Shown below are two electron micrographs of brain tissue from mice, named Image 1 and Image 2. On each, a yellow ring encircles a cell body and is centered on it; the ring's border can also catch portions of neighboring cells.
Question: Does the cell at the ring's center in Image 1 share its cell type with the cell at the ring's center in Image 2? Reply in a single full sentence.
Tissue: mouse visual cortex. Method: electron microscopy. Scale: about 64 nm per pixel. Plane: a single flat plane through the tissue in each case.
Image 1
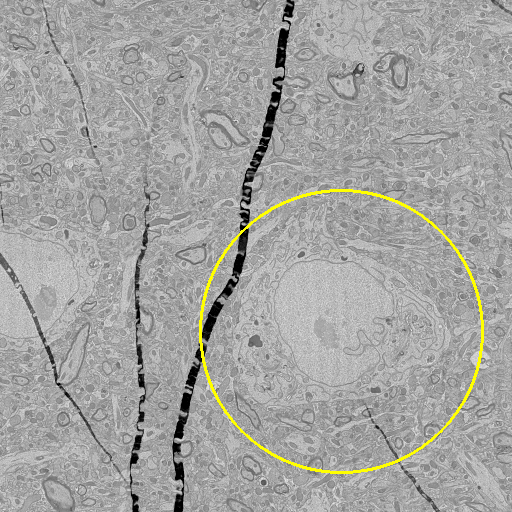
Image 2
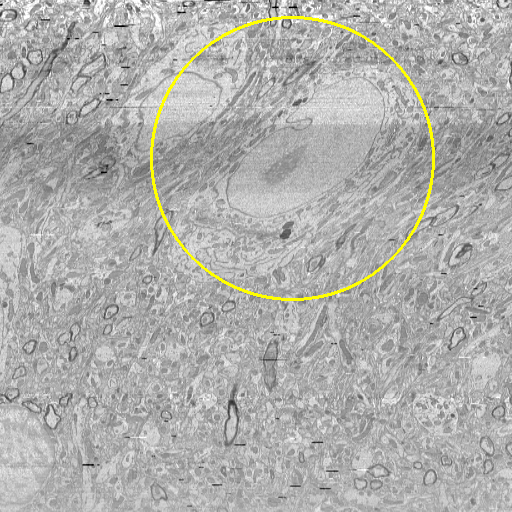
Yes, the two cells at the ring centers, in Image 1 and Image 2, share one cell type.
